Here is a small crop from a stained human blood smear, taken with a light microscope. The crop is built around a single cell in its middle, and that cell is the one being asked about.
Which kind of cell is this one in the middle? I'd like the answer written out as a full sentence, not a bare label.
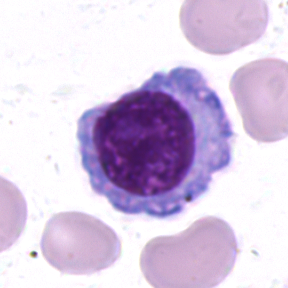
The middle cell in this particular crop is a plasma cell.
